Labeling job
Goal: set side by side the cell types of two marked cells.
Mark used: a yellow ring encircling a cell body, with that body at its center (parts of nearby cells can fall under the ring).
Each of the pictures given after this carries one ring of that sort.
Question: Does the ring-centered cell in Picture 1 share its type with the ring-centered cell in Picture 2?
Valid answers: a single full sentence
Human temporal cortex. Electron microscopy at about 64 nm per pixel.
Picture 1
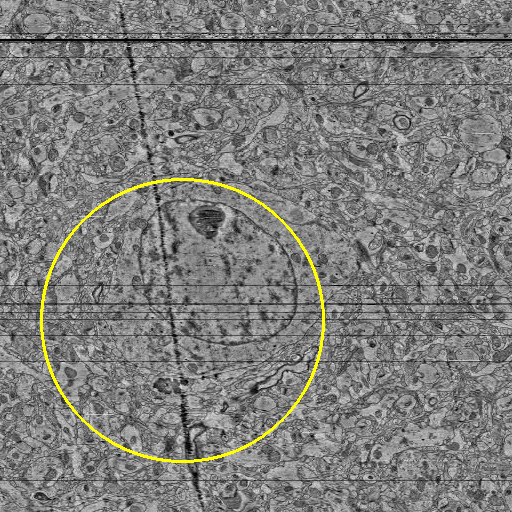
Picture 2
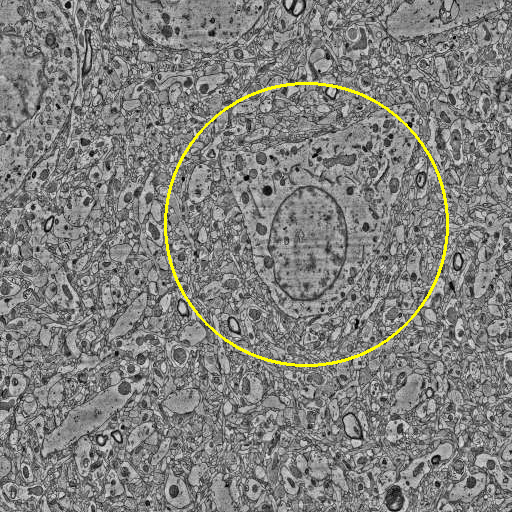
Yes, in Pictures 1 and 2 the cells at the ring centers share one type.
